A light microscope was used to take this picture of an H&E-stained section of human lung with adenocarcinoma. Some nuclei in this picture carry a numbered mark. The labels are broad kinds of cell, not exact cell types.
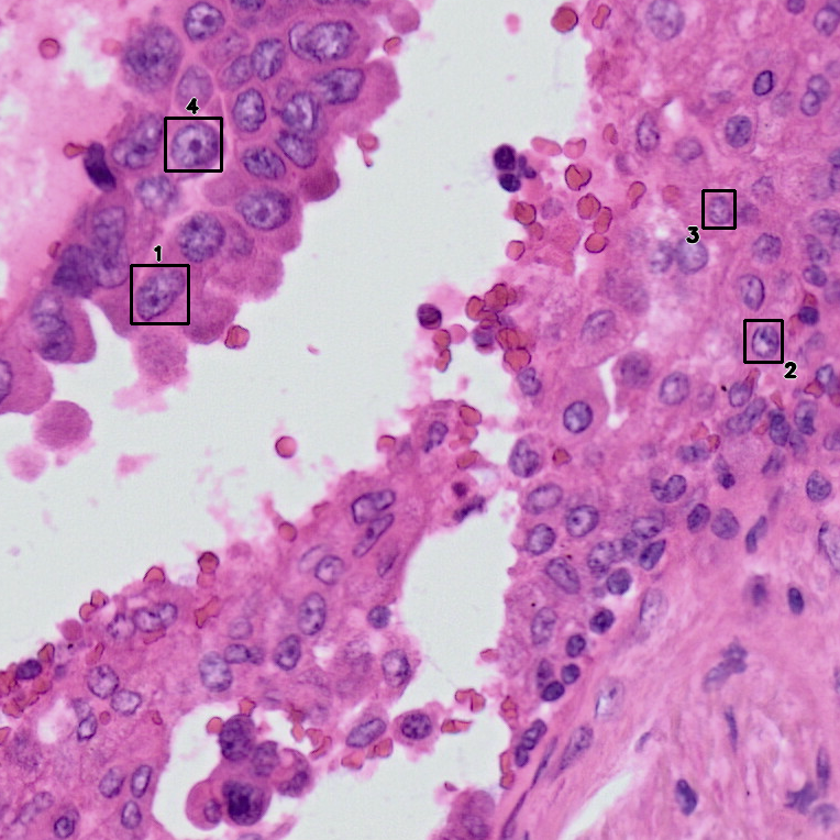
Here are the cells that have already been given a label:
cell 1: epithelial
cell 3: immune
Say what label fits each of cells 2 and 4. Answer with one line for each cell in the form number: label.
2: immune
4: epithelial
